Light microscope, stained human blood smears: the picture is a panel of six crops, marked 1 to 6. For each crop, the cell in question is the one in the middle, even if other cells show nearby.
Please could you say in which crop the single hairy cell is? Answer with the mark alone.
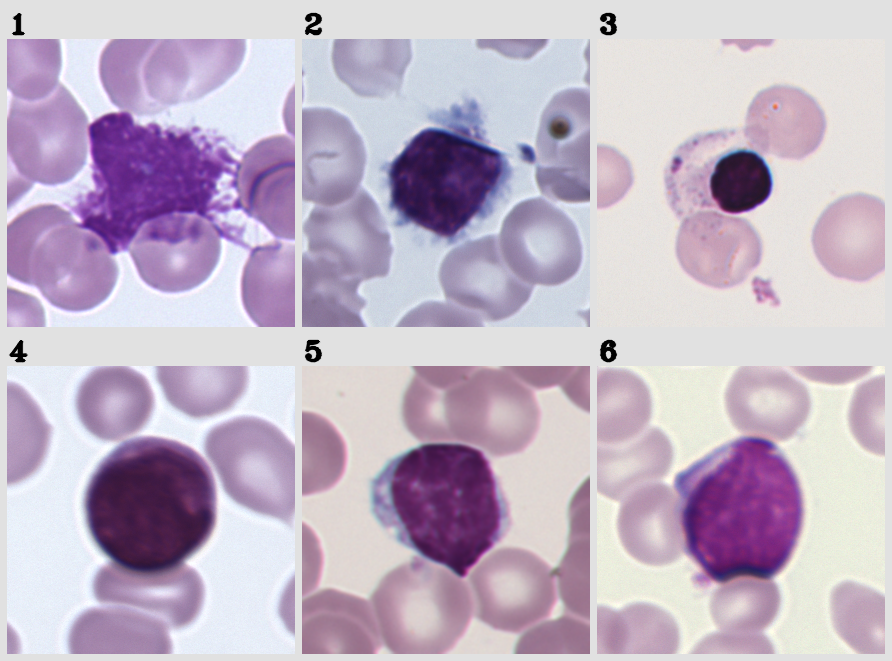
2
